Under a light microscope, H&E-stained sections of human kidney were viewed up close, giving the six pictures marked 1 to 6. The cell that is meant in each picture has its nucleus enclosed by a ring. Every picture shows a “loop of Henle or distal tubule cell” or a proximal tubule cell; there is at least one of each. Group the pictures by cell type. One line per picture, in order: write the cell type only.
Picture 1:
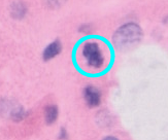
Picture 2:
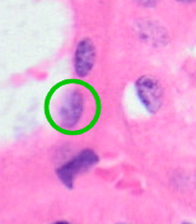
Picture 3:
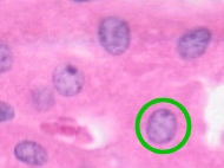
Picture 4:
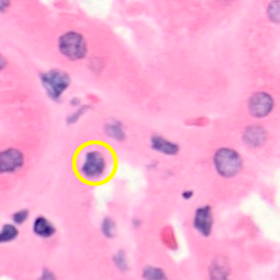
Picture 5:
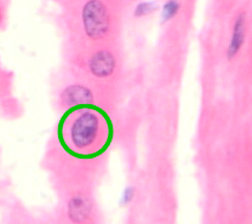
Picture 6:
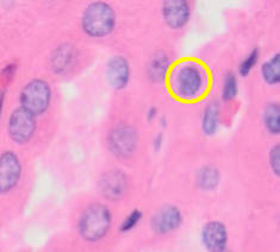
loop of Henle or distal tubule cell
loop of Henle or distal tubule cell
proximal tubule cell
loop of Henle or distal tubule cell
proximal tubule cell
loop of Henle or distal tubule cell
